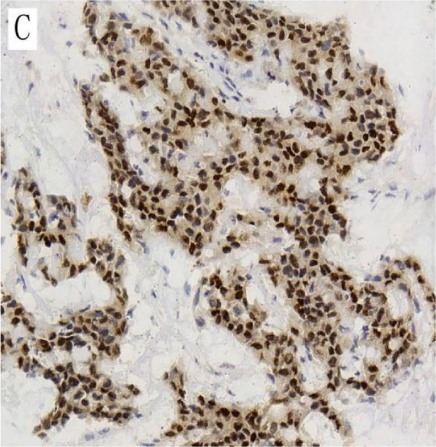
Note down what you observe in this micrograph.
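These are tumor cells arranged in cords and branching nests set in a pale, loose stroma. Their oval nuclei are stained dark brown almost without exception, while the stromal cells between the cords keep blue nuclei.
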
